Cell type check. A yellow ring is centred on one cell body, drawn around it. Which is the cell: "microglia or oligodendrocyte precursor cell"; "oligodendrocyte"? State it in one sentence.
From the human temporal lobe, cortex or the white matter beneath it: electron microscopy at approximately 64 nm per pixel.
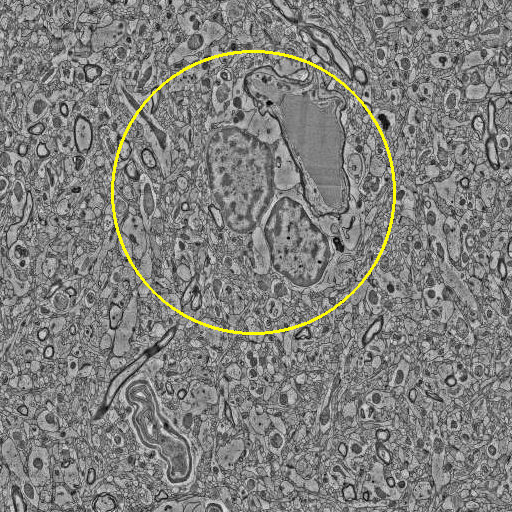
The cell body at the ring's centre belongs to an oligodendrocyte.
